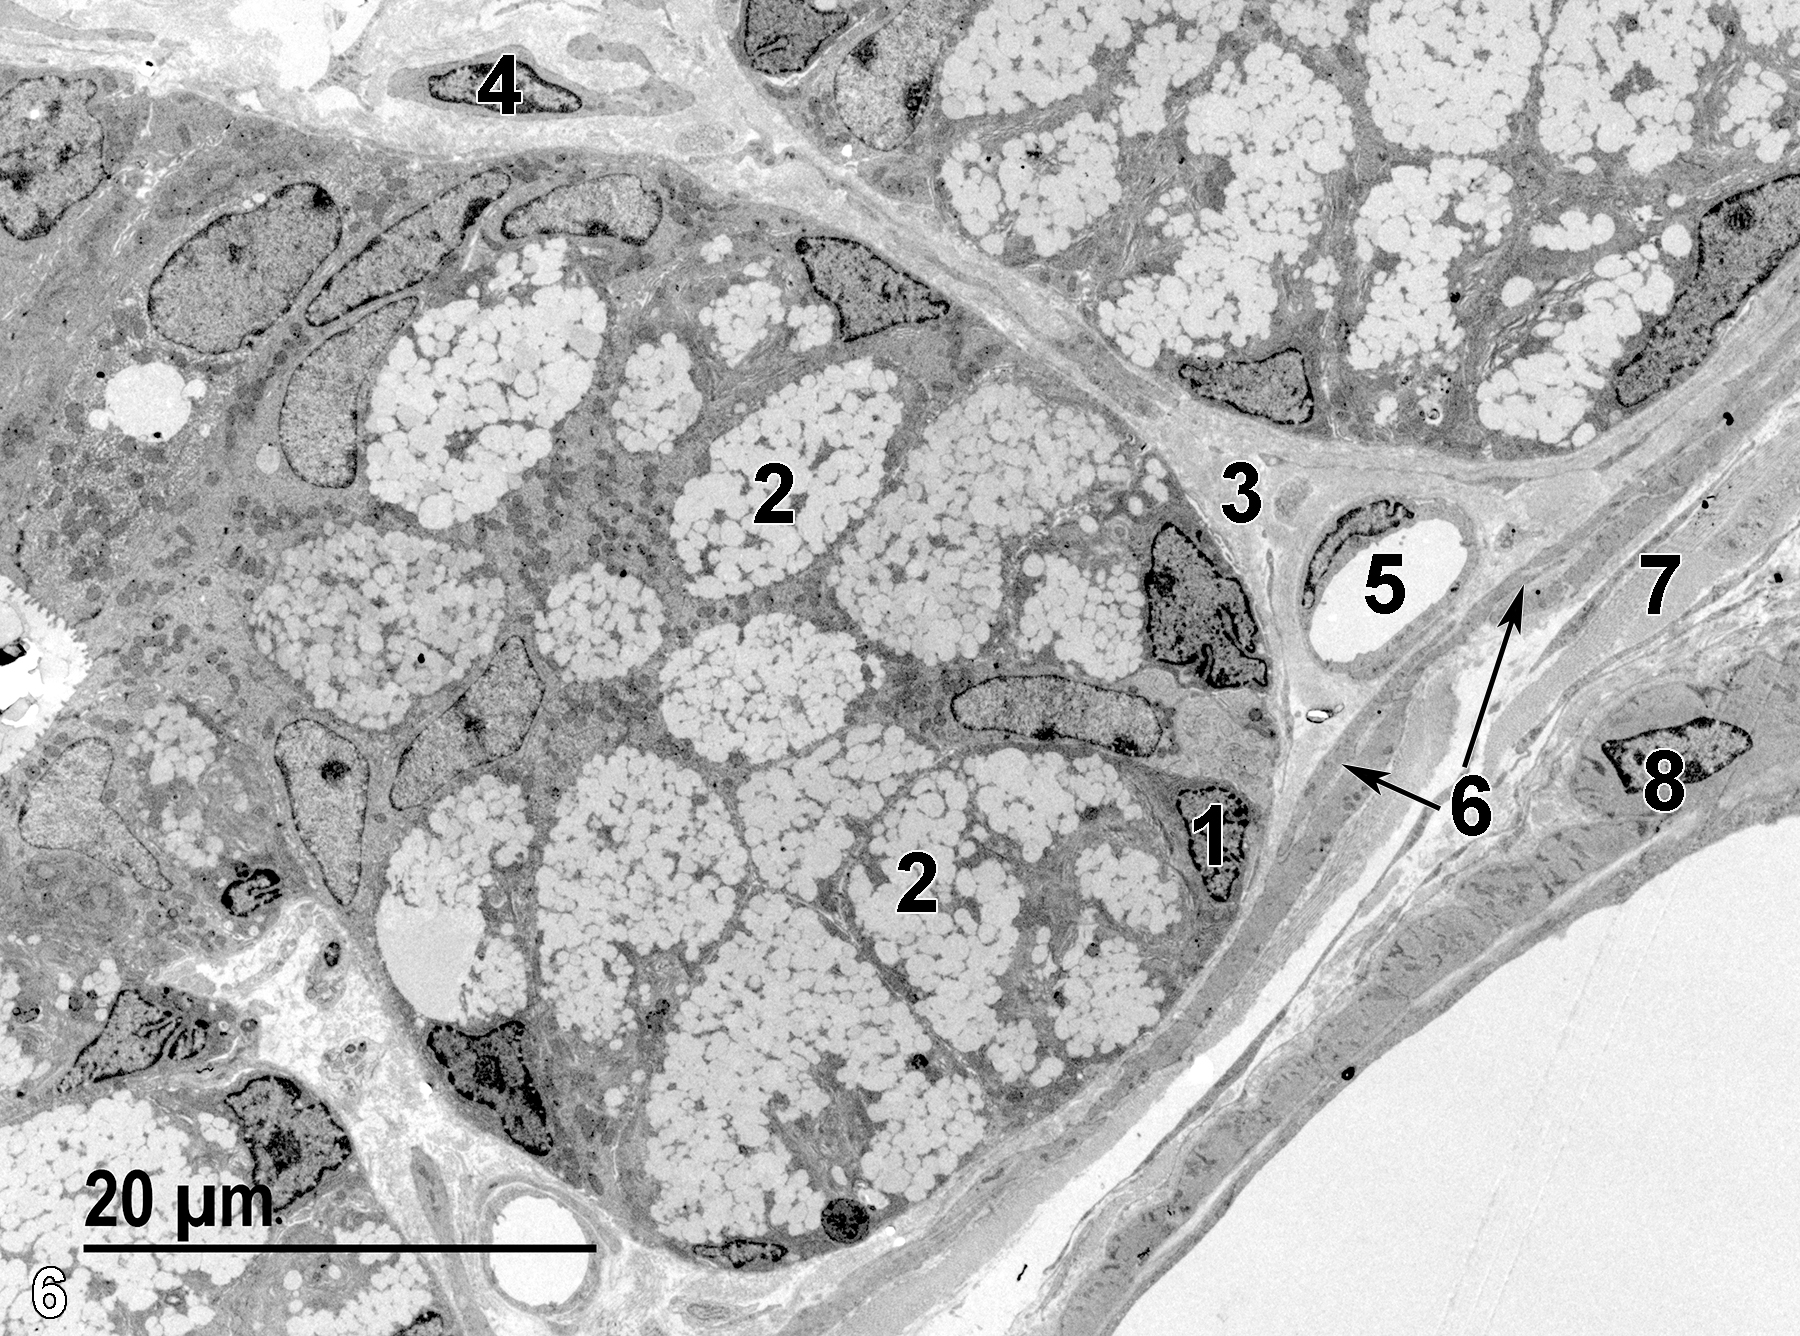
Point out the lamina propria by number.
3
